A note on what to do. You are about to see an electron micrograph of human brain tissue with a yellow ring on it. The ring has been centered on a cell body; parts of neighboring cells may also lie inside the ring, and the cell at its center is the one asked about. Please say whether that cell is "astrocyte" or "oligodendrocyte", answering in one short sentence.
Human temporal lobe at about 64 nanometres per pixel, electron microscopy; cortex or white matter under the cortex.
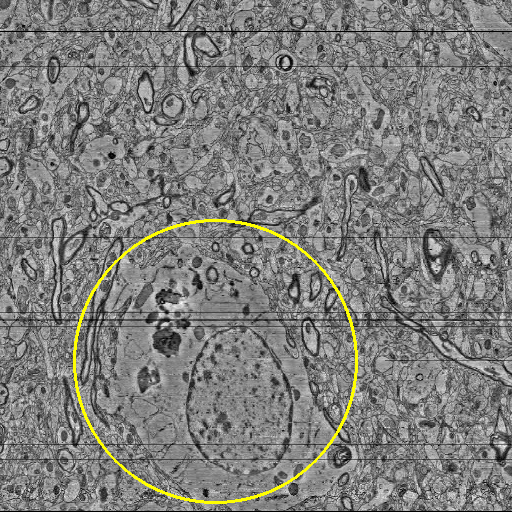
The yellow ring sits on an astrocyte.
